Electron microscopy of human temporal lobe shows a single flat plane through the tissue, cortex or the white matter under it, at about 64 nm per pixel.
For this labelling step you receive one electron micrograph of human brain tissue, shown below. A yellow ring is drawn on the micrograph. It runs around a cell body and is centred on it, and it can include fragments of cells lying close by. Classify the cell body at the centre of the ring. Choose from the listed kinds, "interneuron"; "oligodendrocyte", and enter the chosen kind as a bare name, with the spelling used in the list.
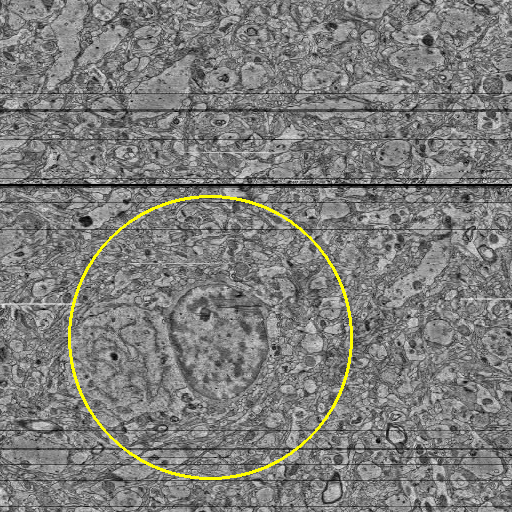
oligodendrocyte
